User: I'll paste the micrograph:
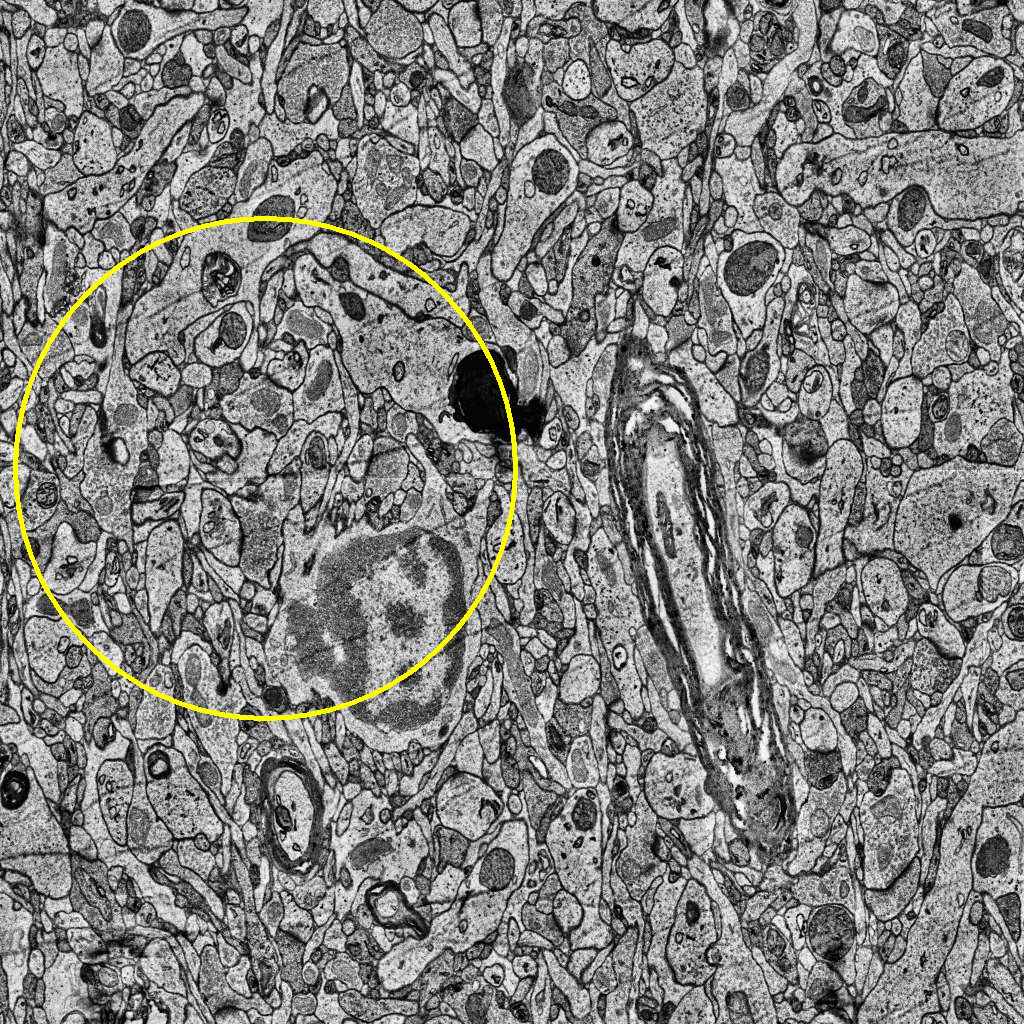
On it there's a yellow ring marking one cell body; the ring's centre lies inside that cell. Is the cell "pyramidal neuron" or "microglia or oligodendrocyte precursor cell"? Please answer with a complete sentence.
The cell at the centre of the yellow ring is a microglial cell or oligodendrocyte precursor cell.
